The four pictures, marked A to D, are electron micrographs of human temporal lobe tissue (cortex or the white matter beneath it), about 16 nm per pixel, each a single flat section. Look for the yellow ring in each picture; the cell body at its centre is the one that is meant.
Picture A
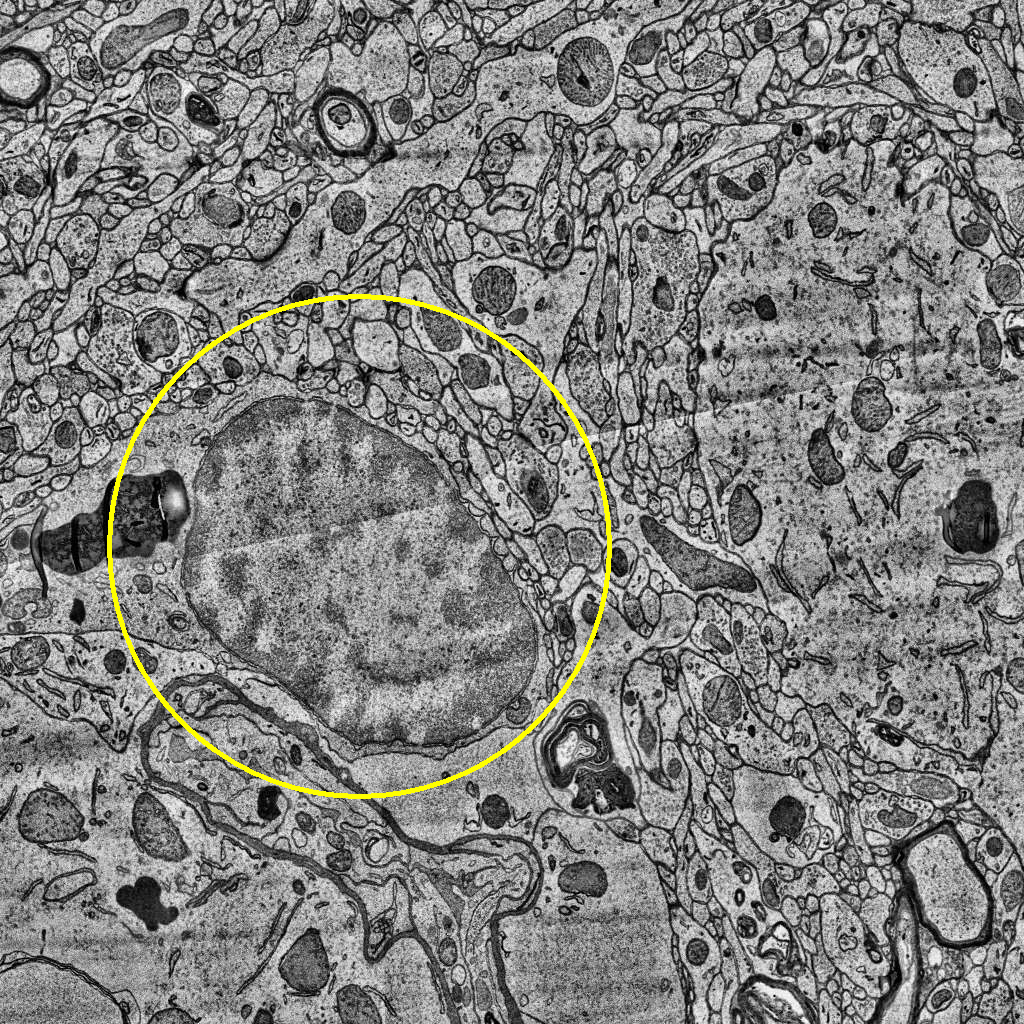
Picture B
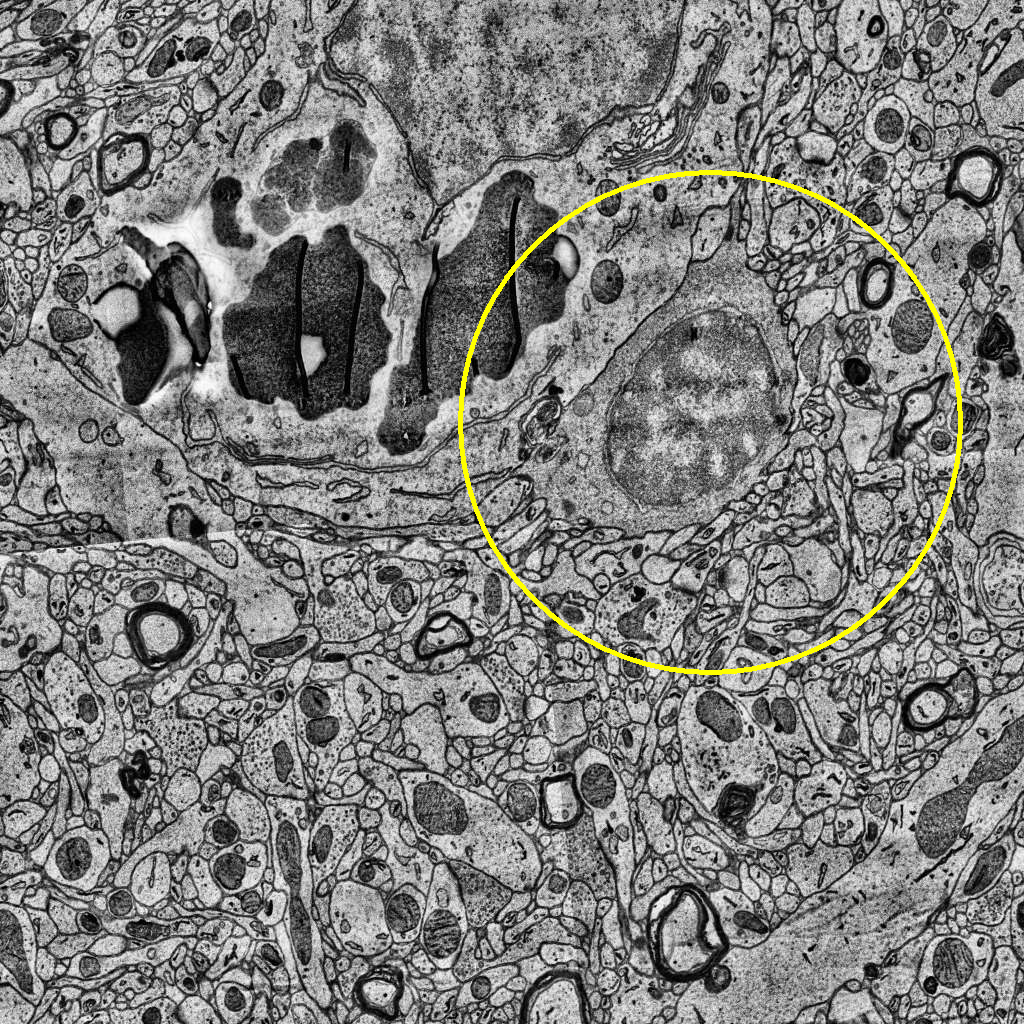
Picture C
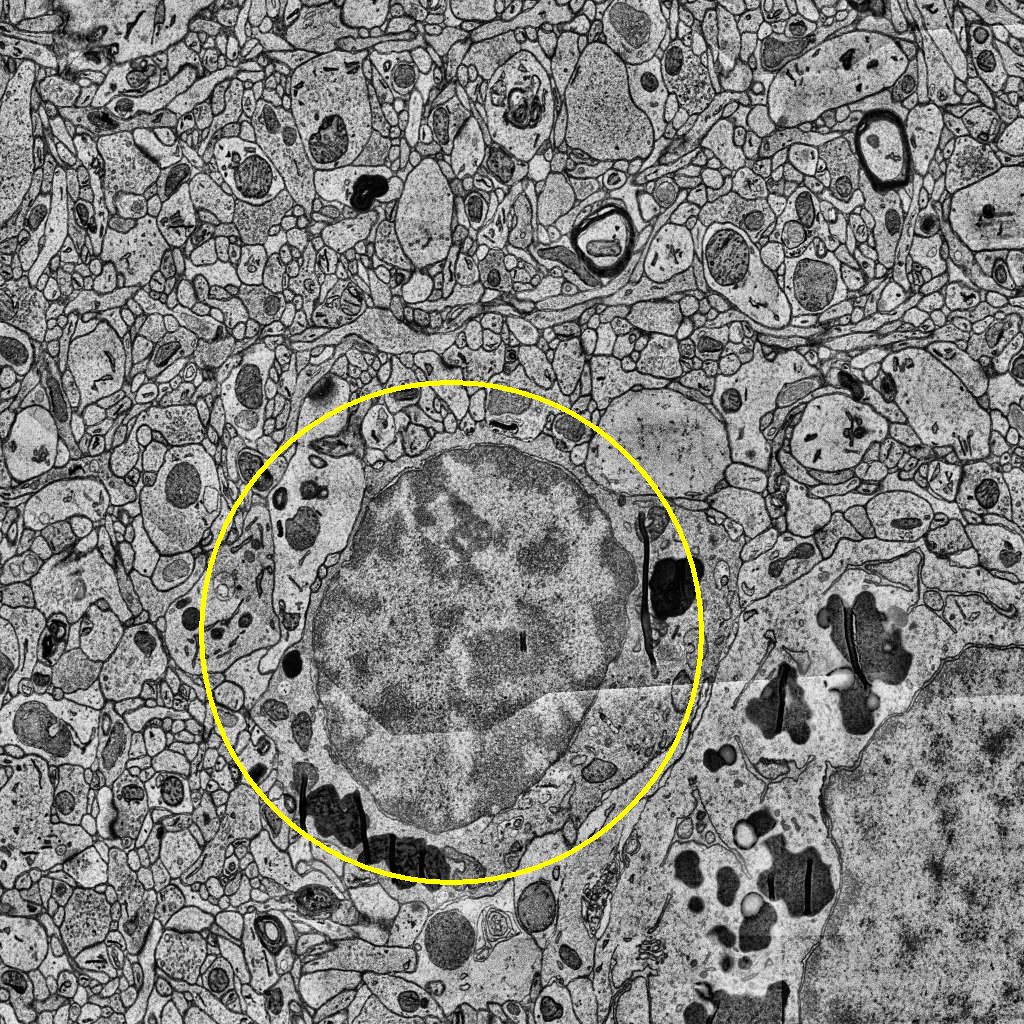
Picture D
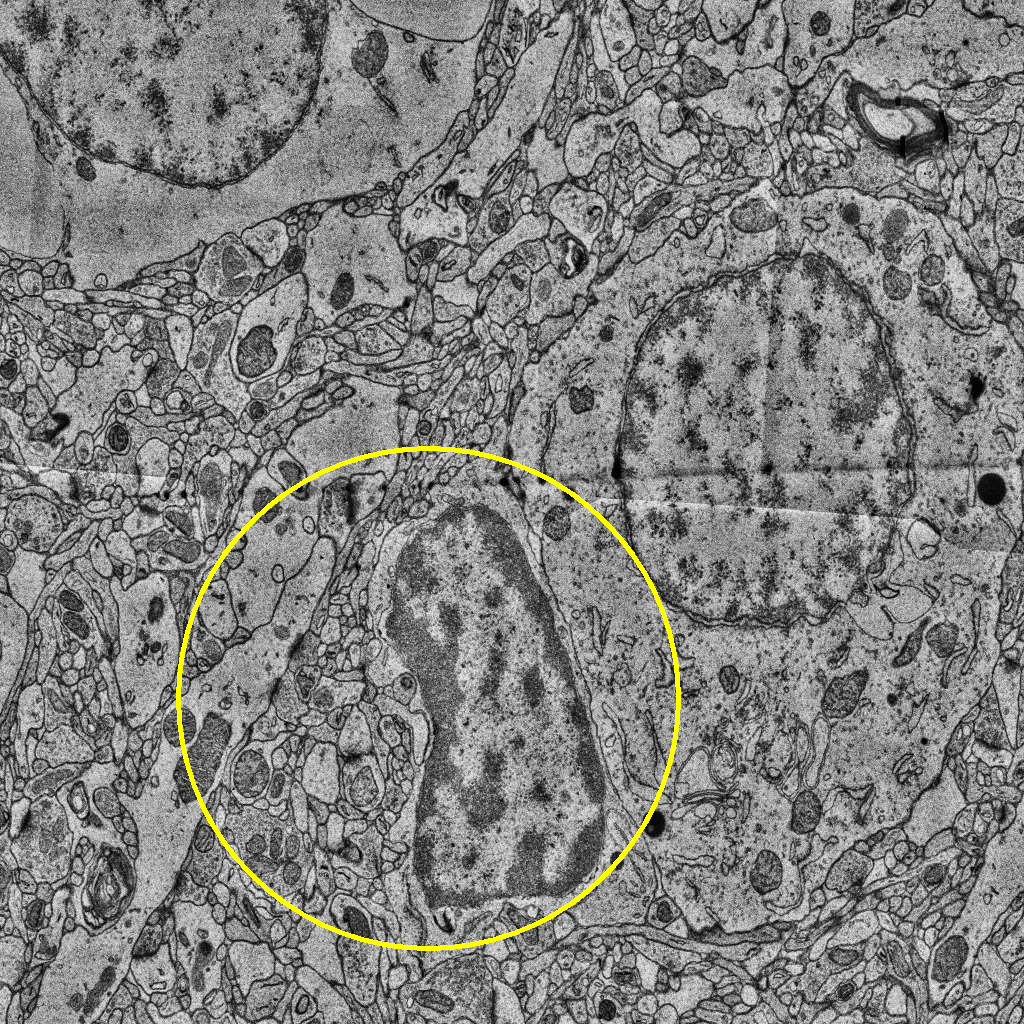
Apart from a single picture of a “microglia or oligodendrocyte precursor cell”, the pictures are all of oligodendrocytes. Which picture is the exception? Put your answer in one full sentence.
The cell in picture D is the “microglia or oligodendrocyte precursor cell”.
